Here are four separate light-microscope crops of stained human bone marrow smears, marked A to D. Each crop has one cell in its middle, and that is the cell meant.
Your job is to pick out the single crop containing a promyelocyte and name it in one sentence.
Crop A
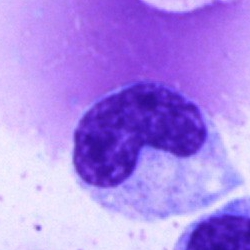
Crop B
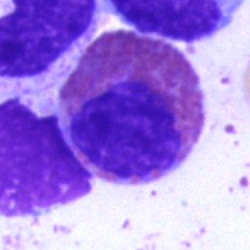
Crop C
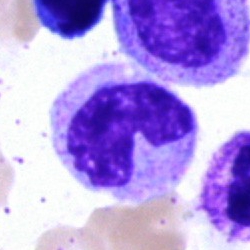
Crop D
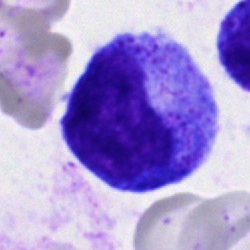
Crop D represents a promyelocyte, while the other crops do not.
